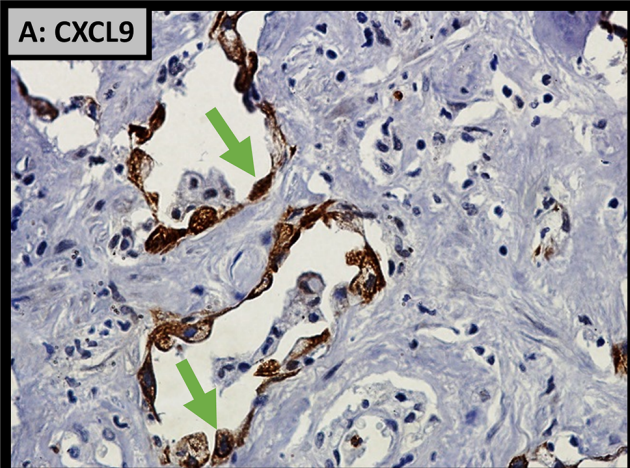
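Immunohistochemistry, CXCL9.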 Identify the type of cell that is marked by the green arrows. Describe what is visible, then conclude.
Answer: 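The marked cells line open air spaces. The marked cells have brown-stained cytoplasm. The surrounding interstitium is pale blue and fibrous with few brown cells. That points to this answer: alveolar pneumocytes.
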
